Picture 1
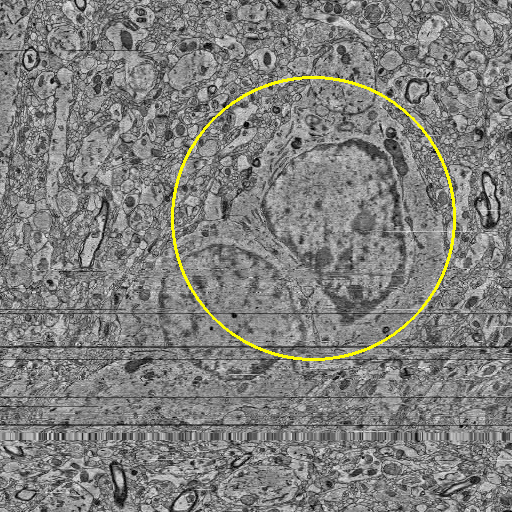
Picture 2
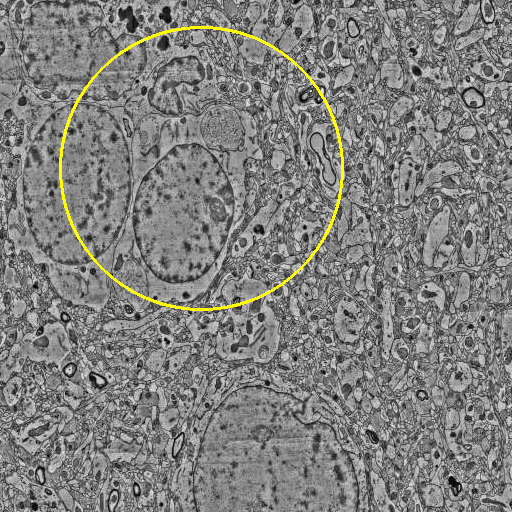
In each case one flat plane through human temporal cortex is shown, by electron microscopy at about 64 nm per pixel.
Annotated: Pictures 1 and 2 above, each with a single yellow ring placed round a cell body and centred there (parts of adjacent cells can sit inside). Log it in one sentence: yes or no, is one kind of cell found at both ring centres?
No, the ring centres of the two pictures hold cells of two kinds.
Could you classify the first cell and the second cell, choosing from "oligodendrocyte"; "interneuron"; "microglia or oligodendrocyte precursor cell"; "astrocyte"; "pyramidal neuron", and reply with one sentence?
The second cell is an astrocyte, while the first is a microglial cell or oligodendrocyte precursor cell.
